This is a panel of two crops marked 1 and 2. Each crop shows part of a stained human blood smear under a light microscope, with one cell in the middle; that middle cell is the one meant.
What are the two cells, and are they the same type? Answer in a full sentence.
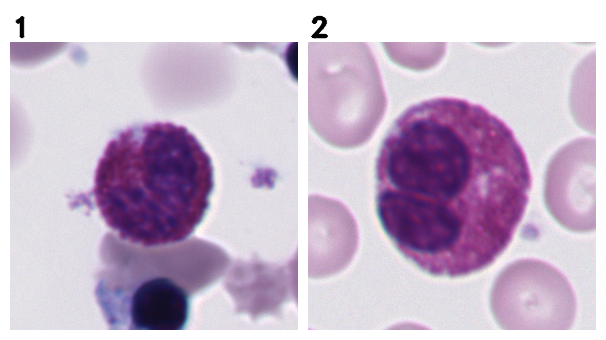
Yes, the central cells in both crops are eosinophils.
